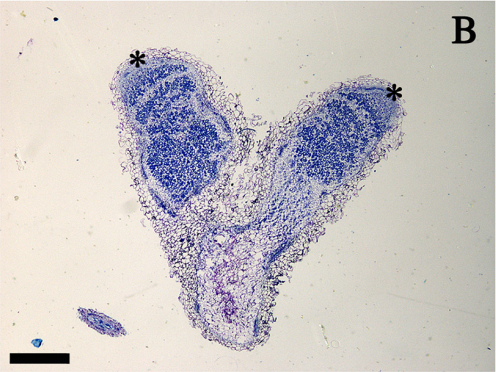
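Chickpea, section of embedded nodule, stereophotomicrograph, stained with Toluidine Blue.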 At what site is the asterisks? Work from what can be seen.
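The asterisks sit at the distal tips of the two lobes. The lobes are branching from a common base. So: meristematic zones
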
